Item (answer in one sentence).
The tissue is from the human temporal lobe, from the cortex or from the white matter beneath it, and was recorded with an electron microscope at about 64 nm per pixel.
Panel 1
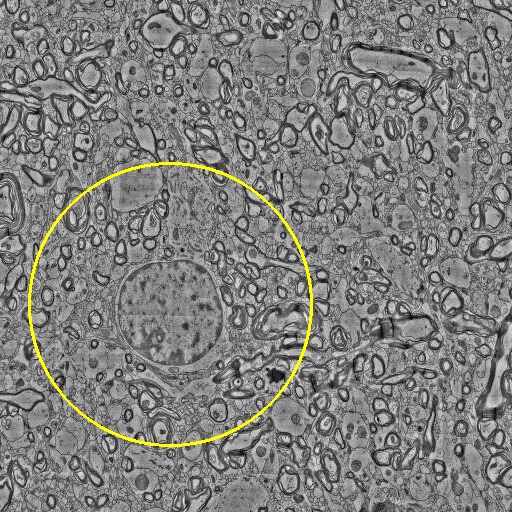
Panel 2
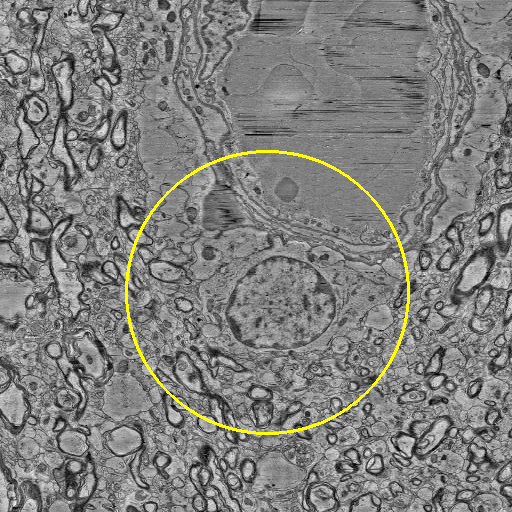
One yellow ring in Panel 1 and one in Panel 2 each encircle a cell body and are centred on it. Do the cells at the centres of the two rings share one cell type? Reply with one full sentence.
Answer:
Yes, Panel 1 and Panel 2 show cells of one type at the centres of their rings.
